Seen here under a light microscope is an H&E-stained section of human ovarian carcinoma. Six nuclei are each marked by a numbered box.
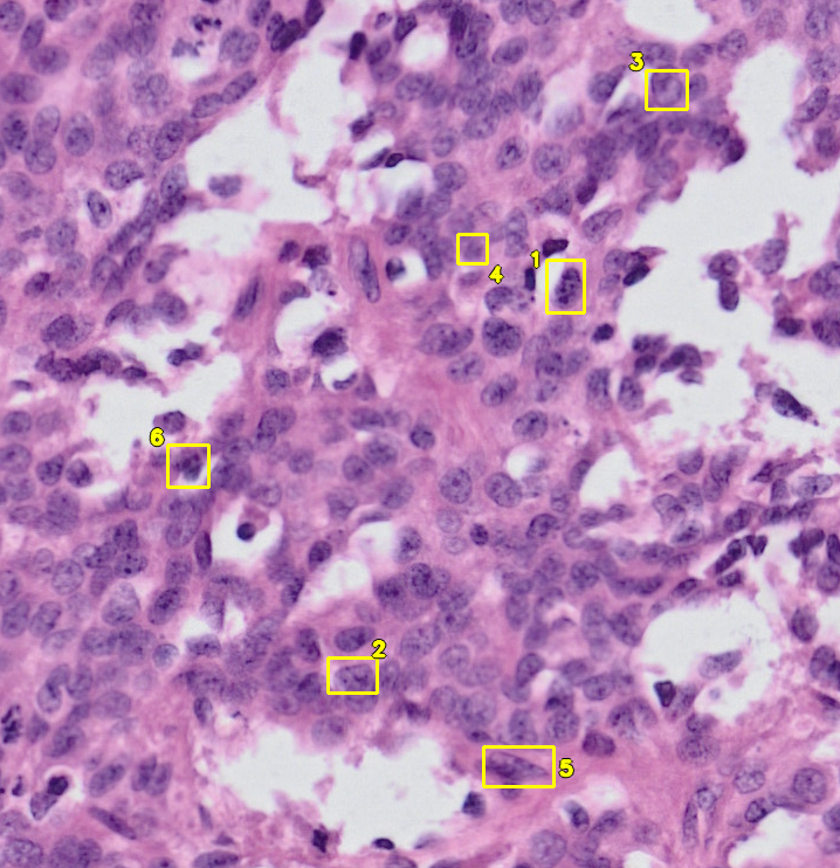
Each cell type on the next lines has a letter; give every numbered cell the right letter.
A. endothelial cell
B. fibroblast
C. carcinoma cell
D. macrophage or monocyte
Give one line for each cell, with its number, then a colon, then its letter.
1: C
2: D
3: C
4: C
5: A
6: C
